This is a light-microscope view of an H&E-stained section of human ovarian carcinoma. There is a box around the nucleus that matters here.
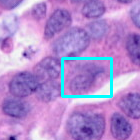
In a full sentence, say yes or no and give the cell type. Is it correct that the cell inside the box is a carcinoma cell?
Yes, to name the cell inside the box a carcinoma cell is correct.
